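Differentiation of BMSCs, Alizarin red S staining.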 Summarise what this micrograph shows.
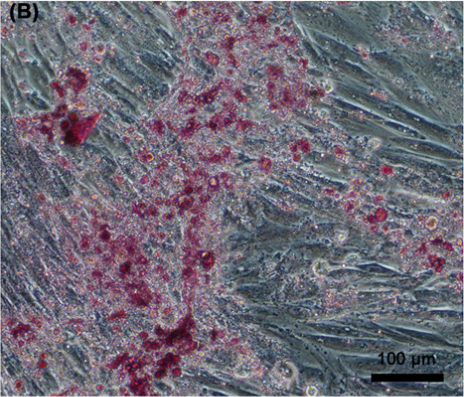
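A dense layer of cultured cells is seen, with spindle-shaped cells lying in parallel streams at the edges. Across the middle, dark red to crimson clumps of irregular size and shape are scattered, some fused into larger dark aggregates. The red deposits lie in patches over the cell layer rather than inside single cells.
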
